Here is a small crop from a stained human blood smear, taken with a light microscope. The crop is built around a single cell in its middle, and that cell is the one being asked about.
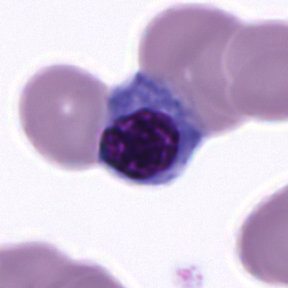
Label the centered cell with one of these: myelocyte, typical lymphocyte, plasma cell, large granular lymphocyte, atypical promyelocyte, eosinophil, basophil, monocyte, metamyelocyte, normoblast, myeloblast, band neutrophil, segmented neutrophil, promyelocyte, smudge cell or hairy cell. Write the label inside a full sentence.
Here the centrally located cell is a plasma cell.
